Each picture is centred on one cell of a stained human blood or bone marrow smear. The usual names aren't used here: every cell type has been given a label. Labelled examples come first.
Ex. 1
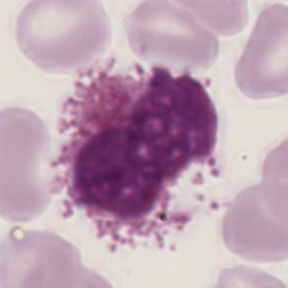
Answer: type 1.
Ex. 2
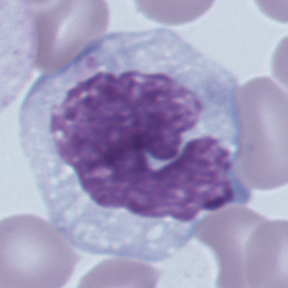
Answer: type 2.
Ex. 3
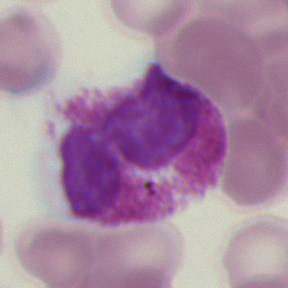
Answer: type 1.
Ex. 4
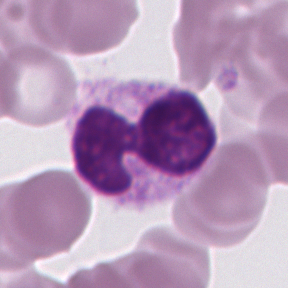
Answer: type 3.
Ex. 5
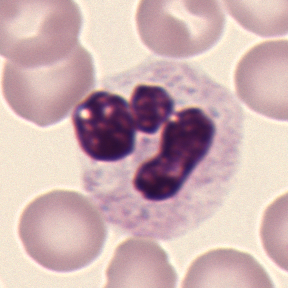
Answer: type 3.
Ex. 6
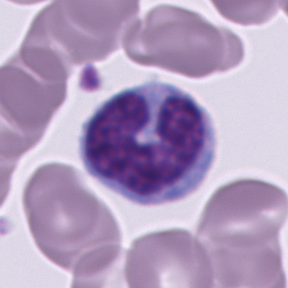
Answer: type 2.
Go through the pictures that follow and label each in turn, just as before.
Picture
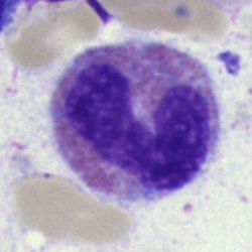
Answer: type 1.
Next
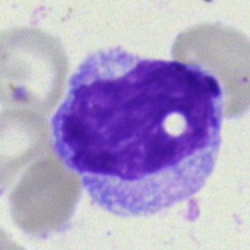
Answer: type 2.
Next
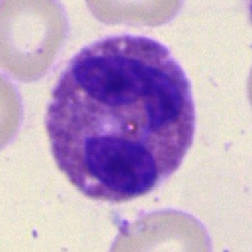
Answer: type 1.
